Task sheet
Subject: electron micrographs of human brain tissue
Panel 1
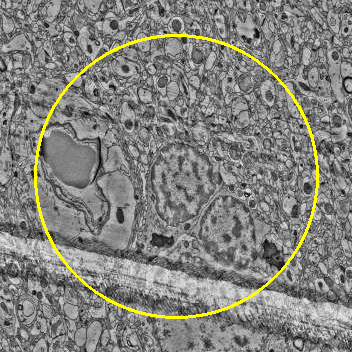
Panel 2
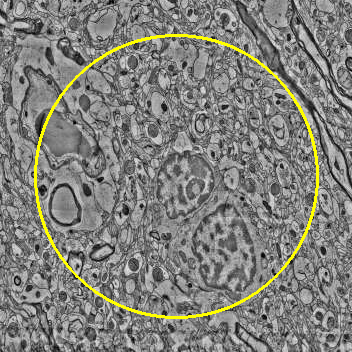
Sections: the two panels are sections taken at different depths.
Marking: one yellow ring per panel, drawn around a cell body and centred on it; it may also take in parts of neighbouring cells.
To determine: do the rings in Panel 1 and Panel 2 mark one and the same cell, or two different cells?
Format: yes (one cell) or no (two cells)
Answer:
yes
